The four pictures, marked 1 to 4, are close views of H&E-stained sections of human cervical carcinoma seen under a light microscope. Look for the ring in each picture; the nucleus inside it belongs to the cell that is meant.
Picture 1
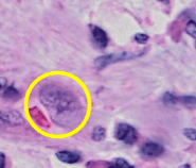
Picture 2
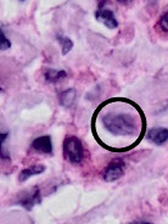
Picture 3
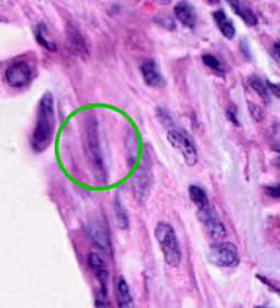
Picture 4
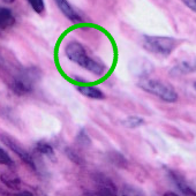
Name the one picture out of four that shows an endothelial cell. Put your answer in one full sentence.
It is picture 1 that shows the endothelial cell.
